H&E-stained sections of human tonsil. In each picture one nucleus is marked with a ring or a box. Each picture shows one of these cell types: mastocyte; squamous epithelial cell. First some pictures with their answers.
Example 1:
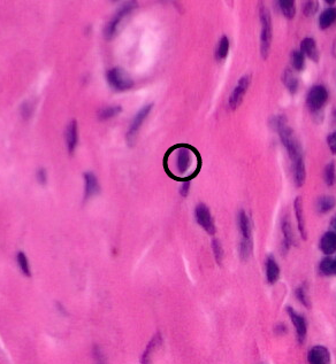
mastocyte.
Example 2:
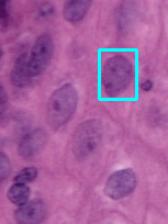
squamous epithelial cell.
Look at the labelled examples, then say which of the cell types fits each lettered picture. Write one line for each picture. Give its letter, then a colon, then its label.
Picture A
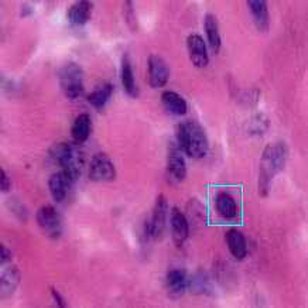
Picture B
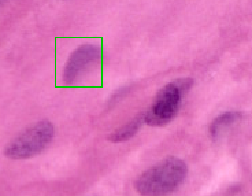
A: mastocyte.
B: squamous epithelial cell.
